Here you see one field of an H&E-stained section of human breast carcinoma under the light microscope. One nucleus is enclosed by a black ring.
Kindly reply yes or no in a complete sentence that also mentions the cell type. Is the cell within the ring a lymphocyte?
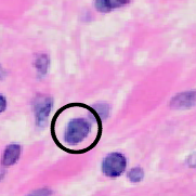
Yes, the identity of the cell within the ring is that of a lymphocyte.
